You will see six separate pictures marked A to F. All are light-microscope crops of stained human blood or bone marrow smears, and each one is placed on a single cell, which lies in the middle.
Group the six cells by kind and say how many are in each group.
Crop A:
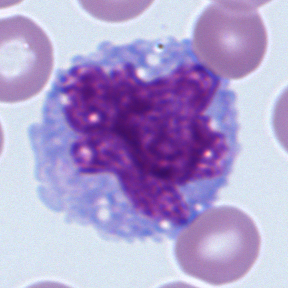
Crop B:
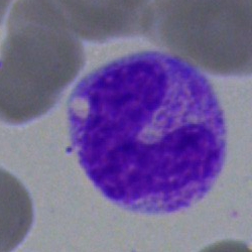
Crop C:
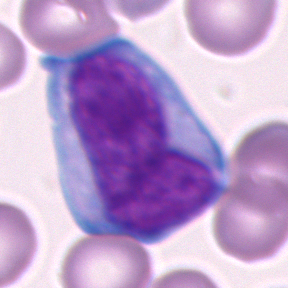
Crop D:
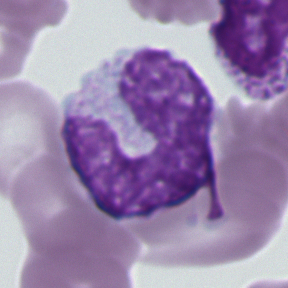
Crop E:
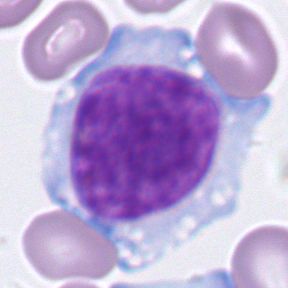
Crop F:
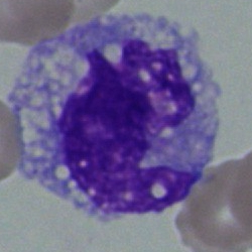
monocyte: 2
band neutrophil: 2
blast: 2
